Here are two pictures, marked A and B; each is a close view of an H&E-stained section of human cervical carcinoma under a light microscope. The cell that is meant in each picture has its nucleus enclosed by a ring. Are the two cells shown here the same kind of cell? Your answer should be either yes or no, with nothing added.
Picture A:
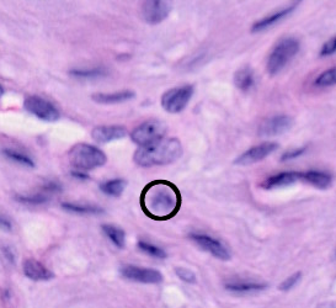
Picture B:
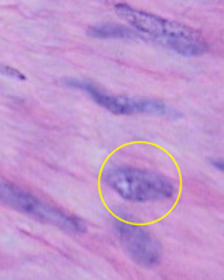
no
